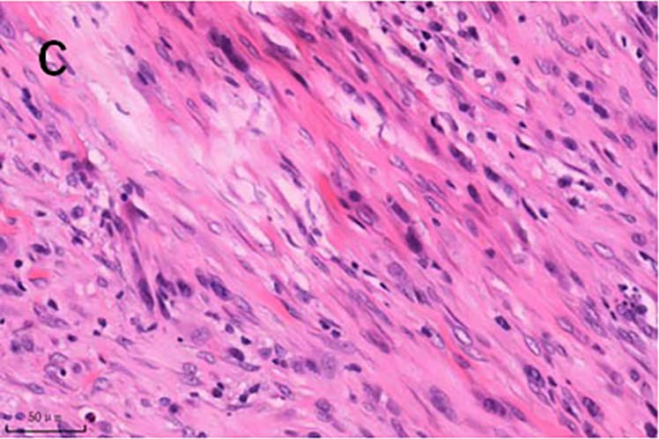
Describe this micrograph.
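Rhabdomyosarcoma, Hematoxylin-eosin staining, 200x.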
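Here the tumor is made of spindle cells, long slender cells with tapering ends that run side by side in streaming bundles from the upper left toward the lower right. Their nuclei are elongated and dark, and some are larger and more irregular than others. The cytoplasm is bright pink and drawn out along the length of each cell, so the field looks like pink strands with dark nuclei strung along them. Paler, looser areas lie between some bundles.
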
